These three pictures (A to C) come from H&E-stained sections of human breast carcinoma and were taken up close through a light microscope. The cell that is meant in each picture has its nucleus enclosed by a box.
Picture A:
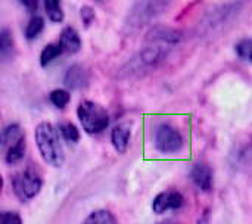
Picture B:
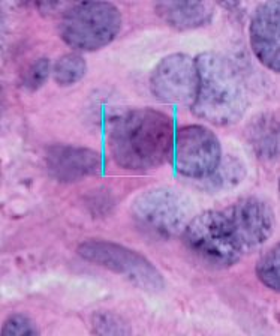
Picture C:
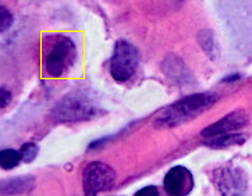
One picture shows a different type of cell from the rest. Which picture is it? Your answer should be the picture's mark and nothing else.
B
